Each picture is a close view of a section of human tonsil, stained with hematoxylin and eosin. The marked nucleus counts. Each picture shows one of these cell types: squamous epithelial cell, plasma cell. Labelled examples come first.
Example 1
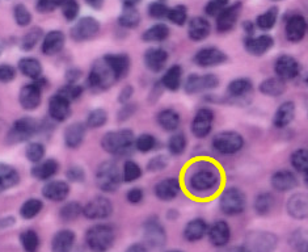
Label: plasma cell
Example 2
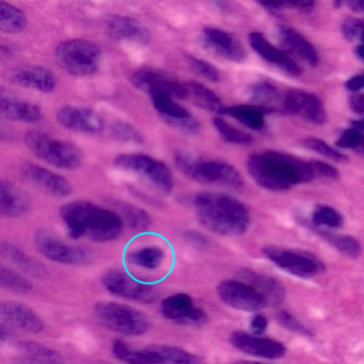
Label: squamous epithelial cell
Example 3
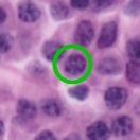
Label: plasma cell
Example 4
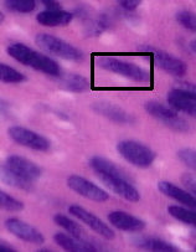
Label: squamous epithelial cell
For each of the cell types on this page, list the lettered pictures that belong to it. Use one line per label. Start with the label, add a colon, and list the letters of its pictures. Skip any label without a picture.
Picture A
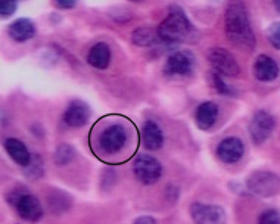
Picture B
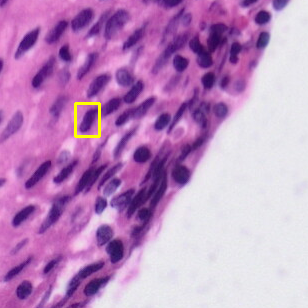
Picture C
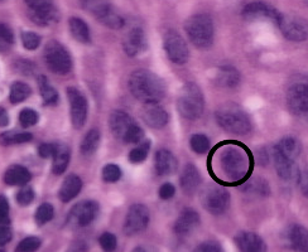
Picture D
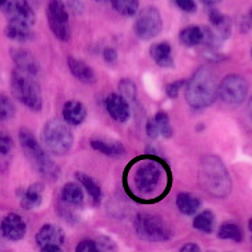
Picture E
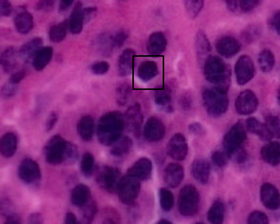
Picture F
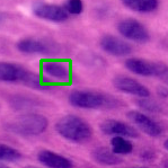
squamous epithelial cell: B, C, F
plasma cell: A, D, E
